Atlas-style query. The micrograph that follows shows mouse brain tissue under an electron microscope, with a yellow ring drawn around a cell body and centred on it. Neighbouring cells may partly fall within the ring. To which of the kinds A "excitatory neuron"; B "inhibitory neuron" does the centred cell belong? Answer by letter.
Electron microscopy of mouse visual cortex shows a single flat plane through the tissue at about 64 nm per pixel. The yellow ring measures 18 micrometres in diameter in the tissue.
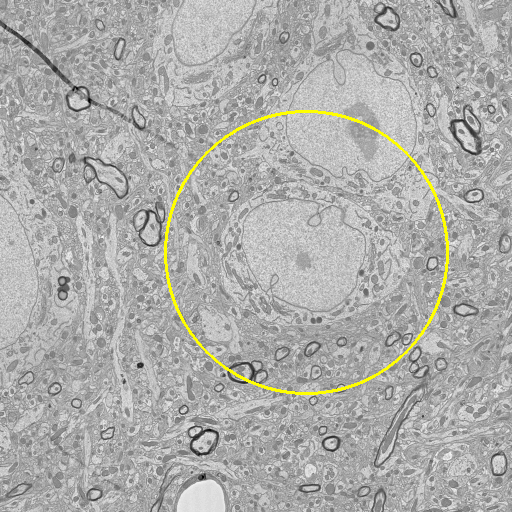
B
